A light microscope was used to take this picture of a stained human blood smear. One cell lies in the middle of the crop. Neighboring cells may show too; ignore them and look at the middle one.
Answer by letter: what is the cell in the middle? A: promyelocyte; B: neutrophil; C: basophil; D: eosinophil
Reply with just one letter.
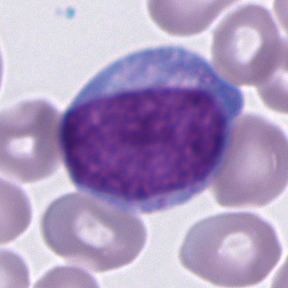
A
